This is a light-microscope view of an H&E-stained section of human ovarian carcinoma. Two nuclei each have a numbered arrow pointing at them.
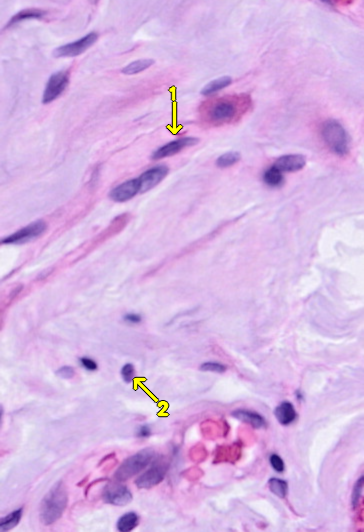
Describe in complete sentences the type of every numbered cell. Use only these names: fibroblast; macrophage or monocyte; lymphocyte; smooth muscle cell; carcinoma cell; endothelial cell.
Cell 1 is an endothelial cell and cell 2 is a lymphocyte.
